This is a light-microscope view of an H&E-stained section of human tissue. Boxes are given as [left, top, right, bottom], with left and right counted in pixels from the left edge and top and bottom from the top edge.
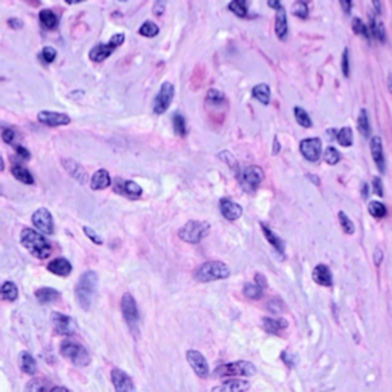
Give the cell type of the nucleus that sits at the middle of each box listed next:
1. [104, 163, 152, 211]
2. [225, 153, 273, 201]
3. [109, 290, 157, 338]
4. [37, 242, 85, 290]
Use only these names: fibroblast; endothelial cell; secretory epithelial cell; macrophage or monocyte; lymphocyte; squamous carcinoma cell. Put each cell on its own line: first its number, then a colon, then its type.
1: macrophage or monocyte
2: endothelial cell
3: fibroblast
4: lymphocyte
